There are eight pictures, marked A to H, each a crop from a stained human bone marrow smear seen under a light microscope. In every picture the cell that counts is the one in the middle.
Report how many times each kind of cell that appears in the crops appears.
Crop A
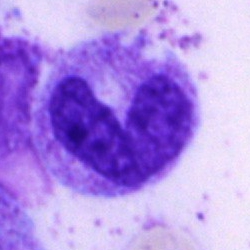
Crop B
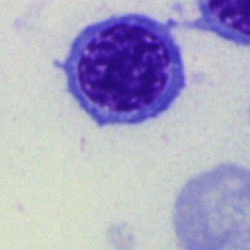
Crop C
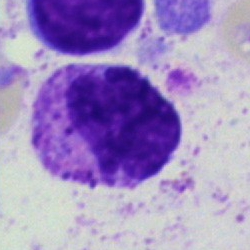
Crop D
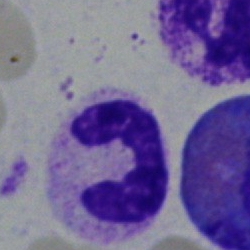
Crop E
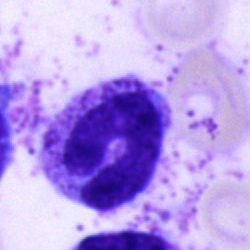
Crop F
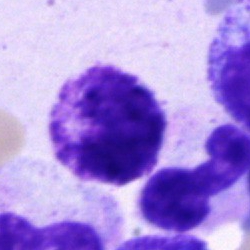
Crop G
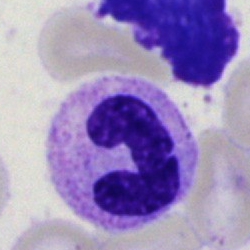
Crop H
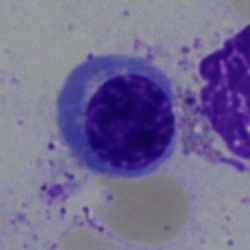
band neutrophil: 4
erythroblast: 2
basophil: 2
